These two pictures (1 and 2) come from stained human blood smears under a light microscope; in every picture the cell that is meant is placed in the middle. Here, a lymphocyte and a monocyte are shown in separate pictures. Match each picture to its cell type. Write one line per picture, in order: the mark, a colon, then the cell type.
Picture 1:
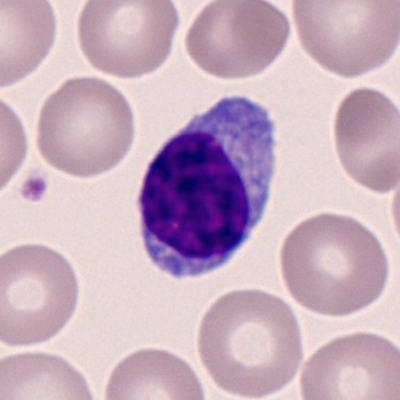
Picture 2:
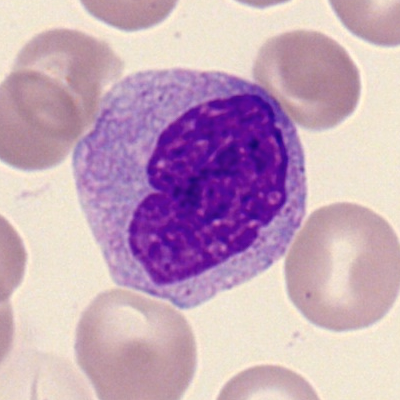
1: lymphocyte
2: monocyte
